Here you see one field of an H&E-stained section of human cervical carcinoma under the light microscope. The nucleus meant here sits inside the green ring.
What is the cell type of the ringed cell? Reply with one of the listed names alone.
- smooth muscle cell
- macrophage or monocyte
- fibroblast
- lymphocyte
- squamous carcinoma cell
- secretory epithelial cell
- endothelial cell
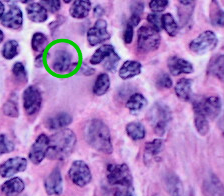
lymphocyte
